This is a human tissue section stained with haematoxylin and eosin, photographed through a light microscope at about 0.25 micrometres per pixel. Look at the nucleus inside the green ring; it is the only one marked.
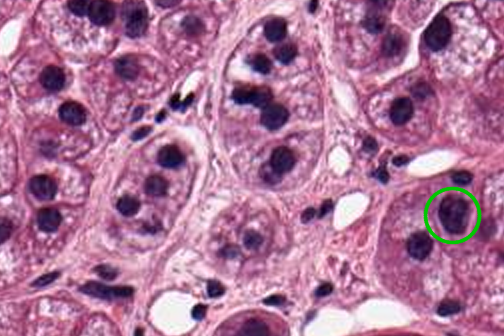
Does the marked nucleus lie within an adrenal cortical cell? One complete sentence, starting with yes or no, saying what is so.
Yes, in this field of view the marked nucleus belongs to an adrenal cortical cell.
